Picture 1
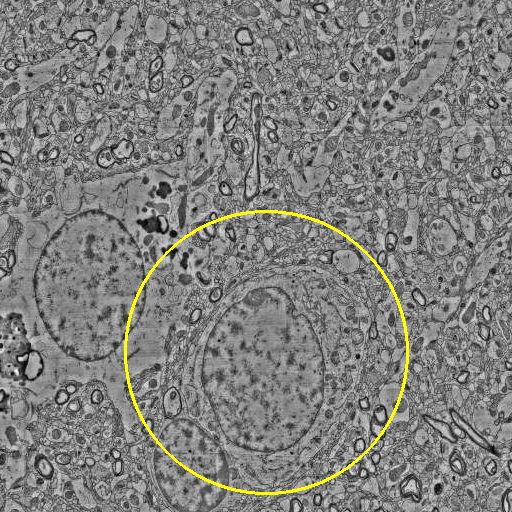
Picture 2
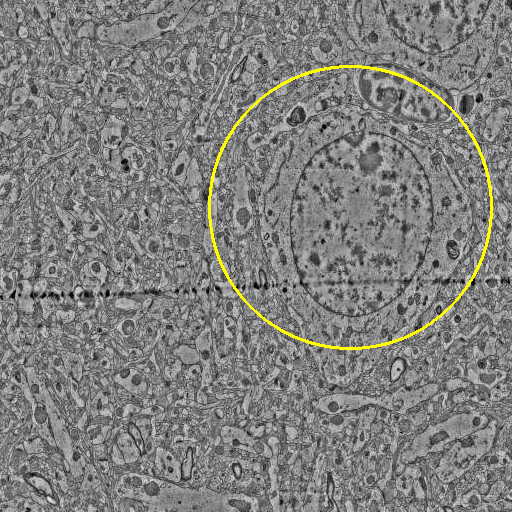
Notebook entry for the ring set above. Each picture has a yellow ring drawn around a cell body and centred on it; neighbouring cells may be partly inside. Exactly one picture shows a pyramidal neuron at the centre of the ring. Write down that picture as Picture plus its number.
Picture 2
